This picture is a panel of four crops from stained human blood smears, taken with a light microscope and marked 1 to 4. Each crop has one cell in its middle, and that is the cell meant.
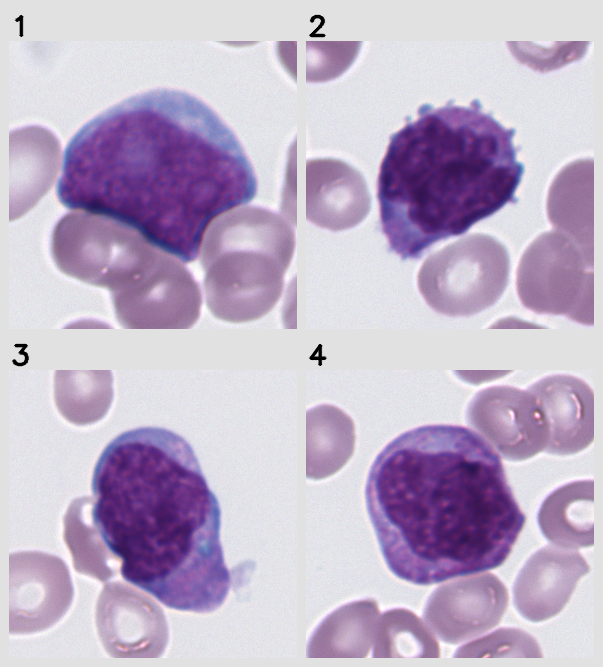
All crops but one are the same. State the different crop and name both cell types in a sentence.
Crop 1 differs from the others in showing a myeloblast; the rest all show atypical promyelocytes.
